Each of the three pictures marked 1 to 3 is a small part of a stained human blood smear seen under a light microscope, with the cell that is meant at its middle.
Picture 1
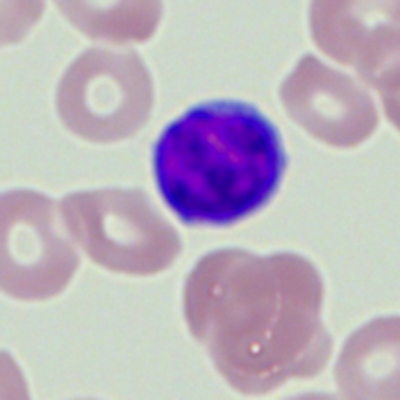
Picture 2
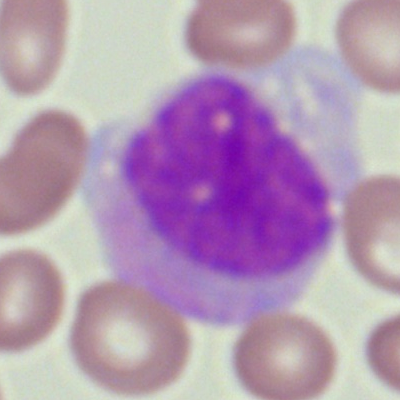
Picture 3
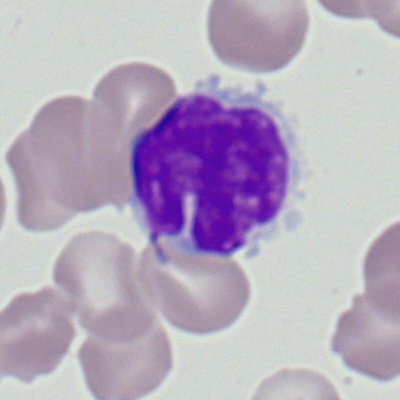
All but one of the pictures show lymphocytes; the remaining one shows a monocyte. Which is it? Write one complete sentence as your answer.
Picture 2 shows the monocyte.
